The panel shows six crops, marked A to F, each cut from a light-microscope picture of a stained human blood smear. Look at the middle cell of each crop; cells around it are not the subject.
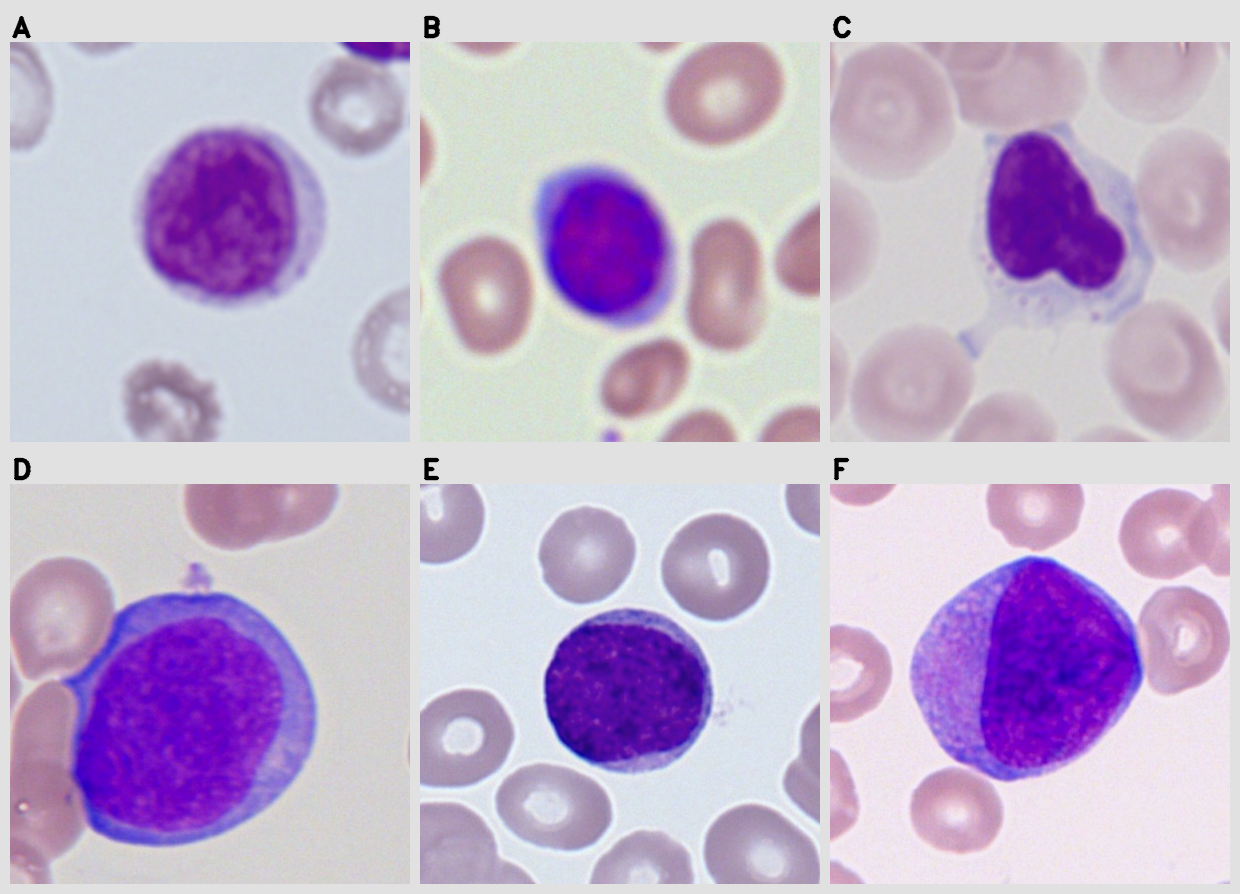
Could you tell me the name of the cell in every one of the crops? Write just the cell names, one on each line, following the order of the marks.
myeloblast
lymphocyte
lymphocyte
myeloblast
myeloblast
myeloblast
